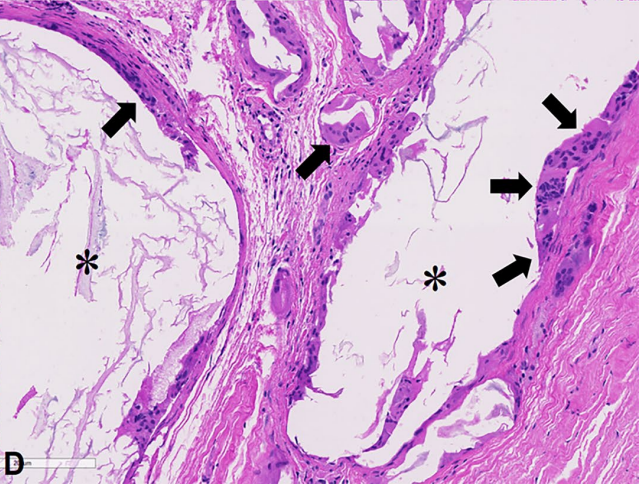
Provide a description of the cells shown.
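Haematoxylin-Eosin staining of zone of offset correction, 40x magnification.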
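Large pale spaces filled with faint, wispy, nearly unstained foreign material are bordered by polynuclear giant cells. These cells have pink cytoplasm and clusters of dark nuclei and hug the walls of the spaces. Thin bands of pink fibrous tissue with elongated nuclei separate the spaces from one another.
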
